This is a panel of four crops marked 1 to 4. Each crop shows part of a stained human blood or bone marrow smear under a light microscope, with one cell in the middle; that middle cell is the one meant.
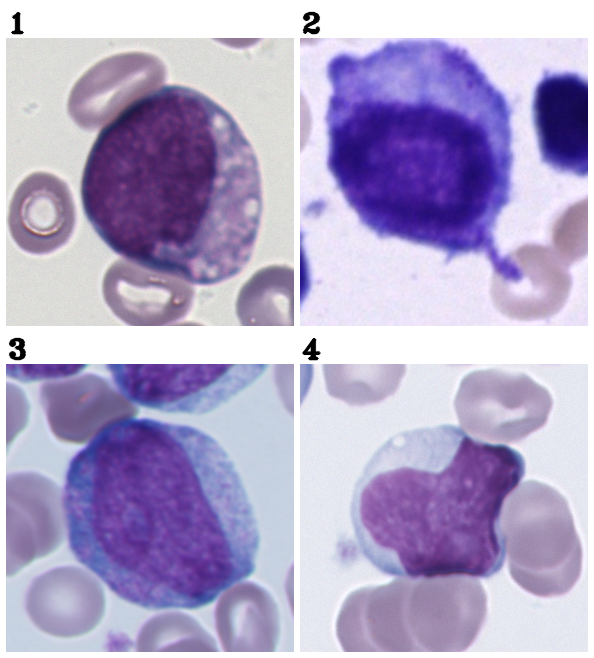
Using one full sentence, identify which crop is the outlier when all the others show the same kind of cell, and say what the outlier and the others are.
All crops show promyelocytes except crop 4, which is a blast.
